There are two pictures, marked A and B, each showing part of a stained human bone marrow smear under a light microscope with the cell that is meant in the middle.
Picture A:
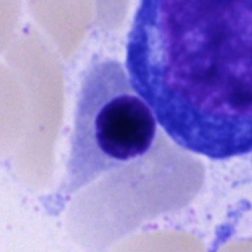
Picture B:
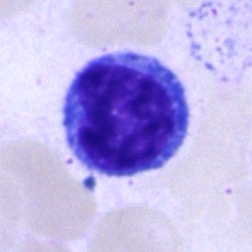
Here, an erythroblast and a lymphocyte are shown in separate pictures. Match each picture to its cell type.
A: erythroblast
B: lymphocyte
